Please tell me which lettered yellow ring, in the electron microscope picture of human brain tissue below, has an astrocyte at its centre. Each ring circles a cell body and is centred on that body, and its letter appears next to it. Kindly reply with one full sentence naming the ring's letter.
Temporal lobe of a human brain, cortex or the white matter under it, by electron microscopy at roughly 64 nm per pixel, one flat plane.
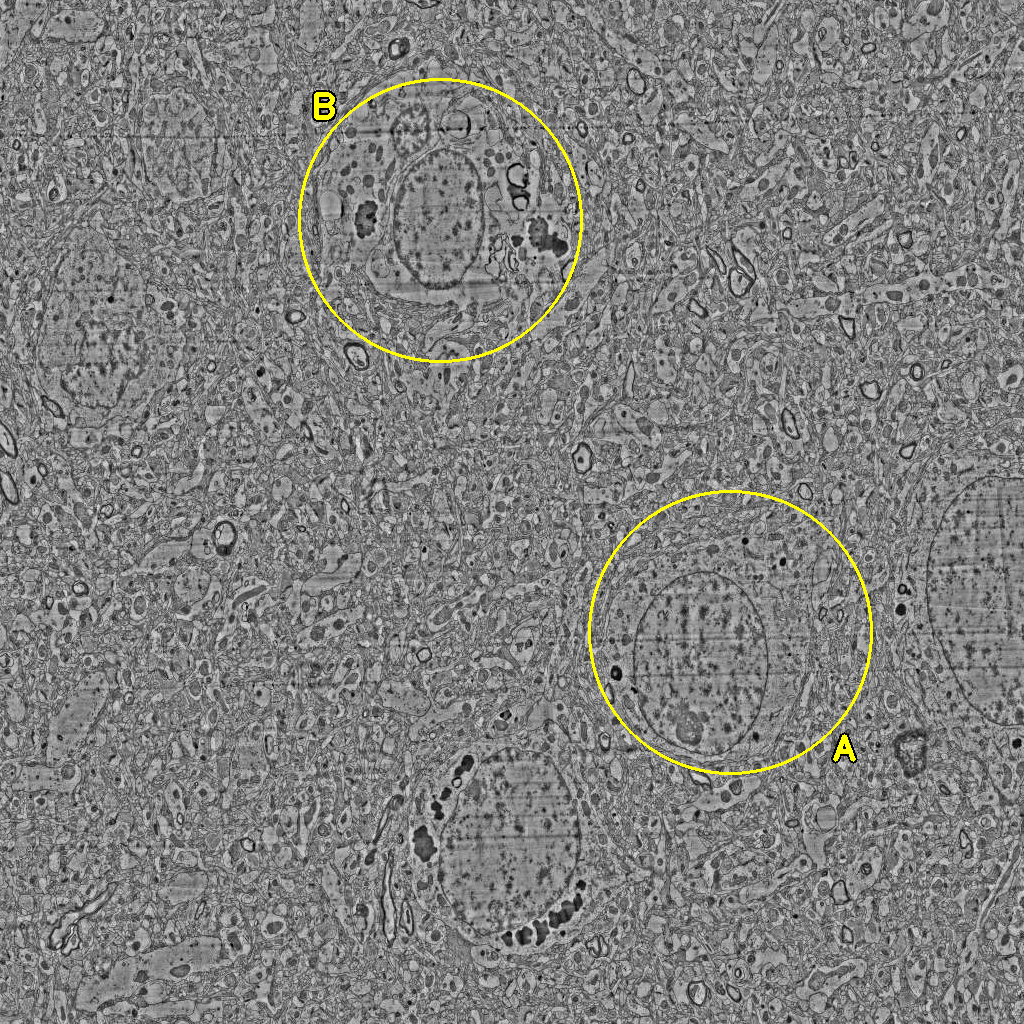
Ring B has the cell asked for at its centre.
